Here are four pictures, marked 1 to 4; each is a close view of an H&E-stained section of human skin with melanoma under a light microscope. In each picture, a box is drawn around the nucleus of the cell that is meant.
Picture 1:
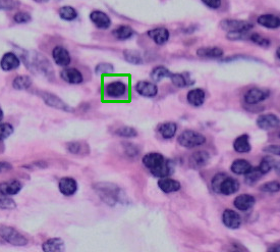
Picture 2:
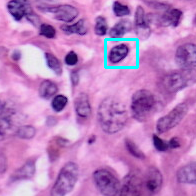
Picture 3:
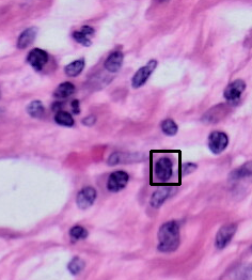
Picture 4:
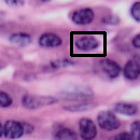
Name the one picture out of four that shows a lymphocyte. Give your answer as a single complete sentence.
The picture with the lymphocyte is 2.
